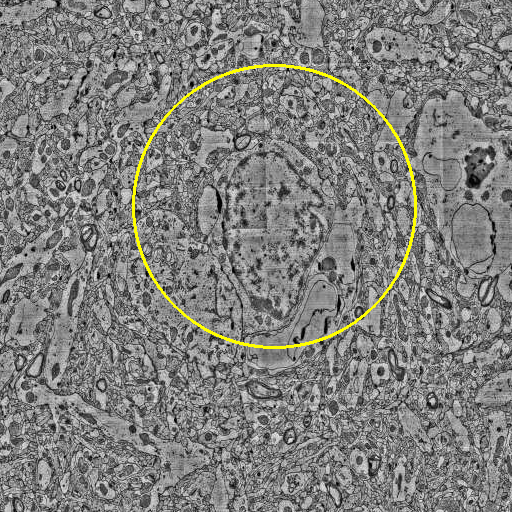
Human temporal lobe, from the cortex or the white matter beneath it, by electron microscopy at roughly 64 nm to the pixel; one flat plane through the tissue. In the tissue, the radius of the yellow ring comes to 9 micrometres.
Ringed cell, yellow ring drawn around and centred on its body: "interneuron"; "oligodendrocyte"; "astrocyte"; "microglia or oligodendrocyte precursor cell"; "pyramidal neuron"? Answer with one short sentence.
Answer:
This ringed cell is an interneuron.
